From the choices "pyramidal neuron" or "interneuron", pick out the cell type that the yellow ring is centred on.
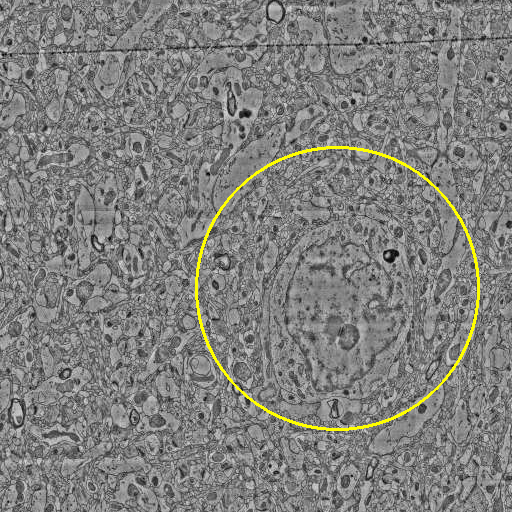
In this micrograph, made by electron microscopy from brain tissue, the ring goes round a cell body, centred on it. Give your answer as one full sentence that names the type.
The yellow ring is centred on an interneuron, whose cell body it encircles in the picture.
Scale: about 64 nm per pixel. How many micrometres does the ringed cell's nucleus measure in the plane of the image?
In this plane the nucleus is about 10 micrometres by 8.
